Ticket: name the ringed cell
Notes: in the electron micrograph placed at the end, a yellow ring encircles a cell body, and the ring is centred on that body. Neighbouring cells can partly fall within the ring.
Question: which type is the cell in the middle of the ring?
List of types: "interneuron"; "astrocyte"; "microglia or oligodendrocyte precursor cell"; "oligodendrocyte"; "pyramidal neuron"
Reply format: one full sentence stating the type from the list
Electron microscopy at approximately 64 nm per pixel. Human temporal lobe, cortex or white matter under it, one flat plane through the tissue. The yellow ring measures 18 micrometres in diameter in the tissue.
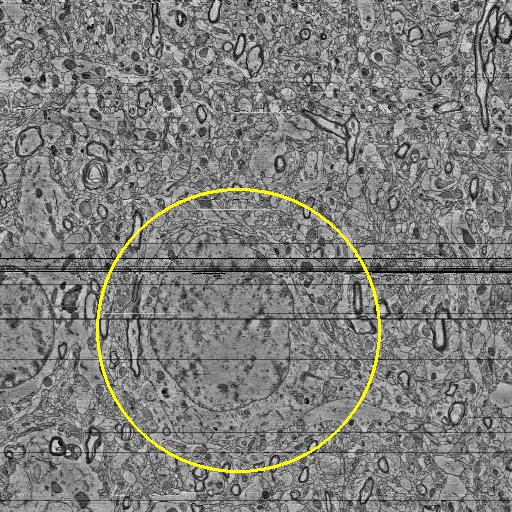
The cell sitting at the centre of the yellow ring is a pyramidal neuron.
